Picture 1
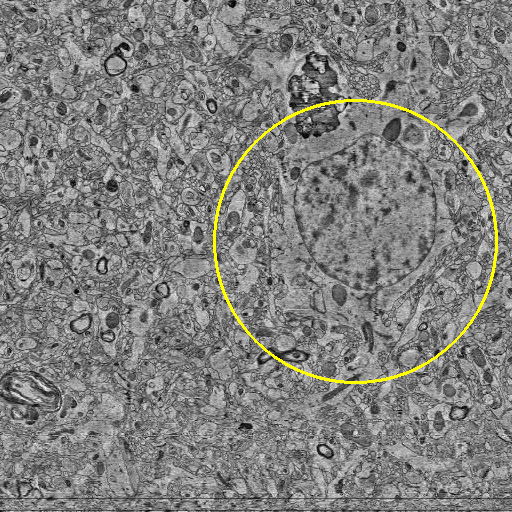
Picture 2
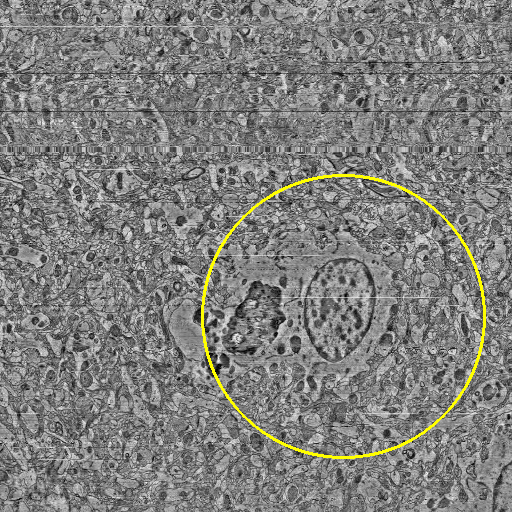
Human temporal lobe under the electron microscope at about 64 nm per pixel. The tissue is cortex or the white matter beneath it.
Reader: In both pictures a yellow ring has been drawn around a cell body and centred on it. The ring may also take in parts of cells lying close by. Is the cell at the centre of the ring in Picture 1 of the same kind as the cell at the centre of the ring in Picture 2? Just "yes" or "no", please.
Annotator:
yes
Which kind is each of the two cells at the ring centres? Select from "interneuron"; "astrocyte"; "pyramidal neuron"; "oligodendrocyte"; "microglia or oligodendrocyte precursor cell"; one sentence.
In each picture the ringed cell is an astrocyte.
